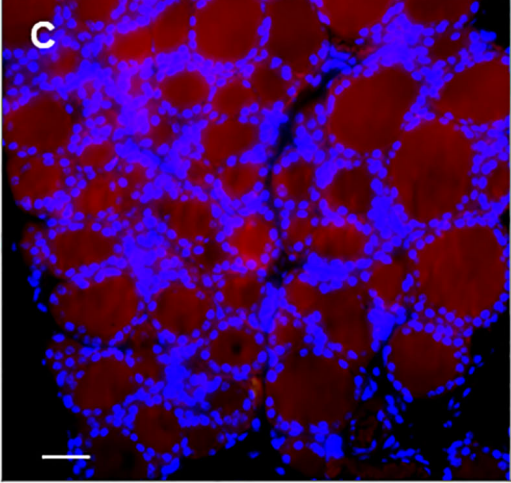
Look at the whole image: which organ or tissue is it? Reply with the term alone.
thyroid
